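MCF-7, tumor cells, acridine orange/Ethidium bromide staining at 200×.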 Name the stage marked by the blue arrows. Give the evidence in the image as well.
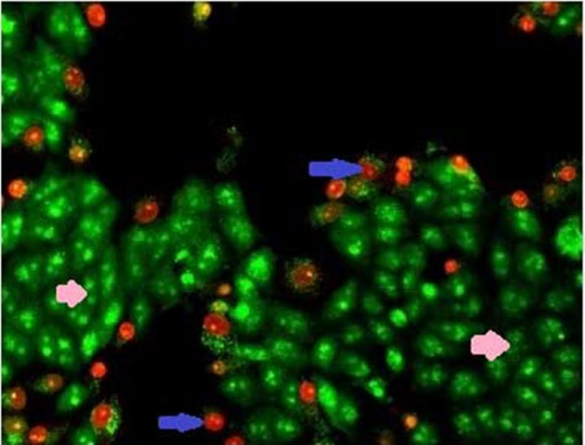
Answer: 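The marked cells are small and rounded. They fluoresce orange-red and have condensed nuclei. They lie at the edges of the green cell clusters.
Hence: late apoptotic cells.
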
